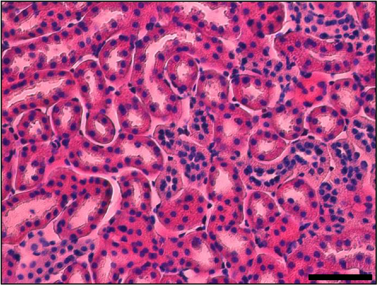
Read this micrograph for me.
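Kidney tubules are seen in cross and oblique section, lined by cuboidal epithelial cells with pink eosinophilic cytoplasm and round, dark purple nuclei. The epithelium is continuous and the lumens are mostly narrow and clear, with little space between neighbouring tubules.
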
